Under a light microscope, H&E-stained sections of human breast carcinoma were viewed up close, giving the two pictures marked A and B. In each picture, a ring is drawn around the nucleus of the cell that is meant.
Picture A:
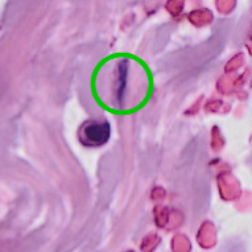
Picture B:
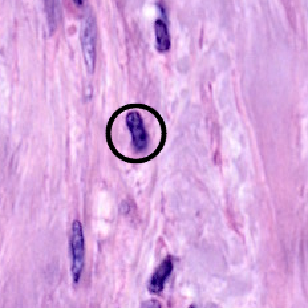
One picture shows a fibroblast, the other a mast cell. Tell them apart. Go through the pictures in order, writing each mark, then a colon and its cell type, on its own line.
A: fibroblast
B: mast cell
